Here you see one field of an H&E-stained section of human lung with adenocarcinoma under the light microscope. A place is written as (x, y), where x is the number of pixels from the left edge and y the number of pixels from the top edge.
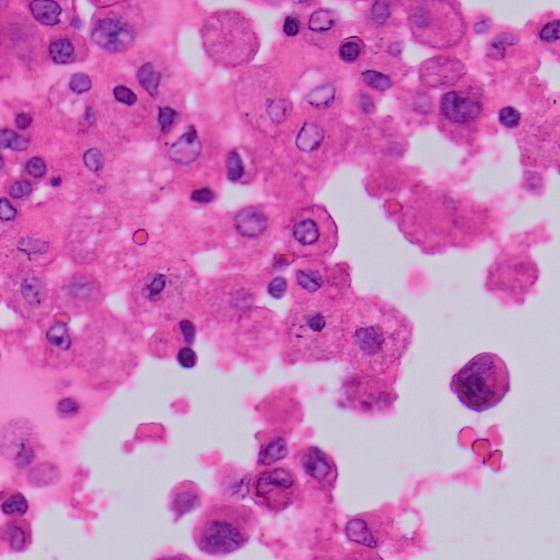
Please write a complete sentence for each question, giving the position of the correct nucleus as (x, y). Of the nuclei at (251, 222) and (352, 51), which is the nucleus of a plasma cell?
The nucleus belonging to a plasma cell is the one at (352, 51).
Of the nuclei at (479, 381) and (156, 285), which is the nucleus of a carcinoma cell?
Among the two, the nucleus at (479, 381) is the nucleus of a carcinoma cell.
